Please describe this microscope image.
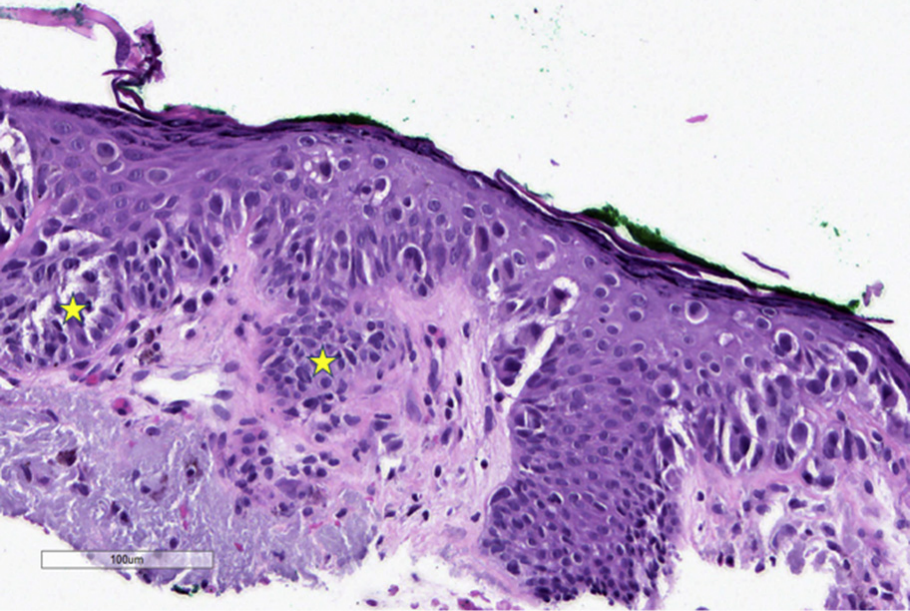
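This section of epidermis and upper dermis shows junctional proliferations of enlarged, atypical melanocytes gathered in nests of uneven size and shape at the dermal-epidermal junction. The atypical cells have large, dark-staining, irregular nuclei that vary considerably in size and form. Many single large cells, often surrounded by a clear halo, are scattered through the purple-stained epidermis up toward its surface. The dermis beneath appears as paler pink fibrous tissue around the nests. A thin dark green deposit lies along the outer surface of the epidermis.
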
